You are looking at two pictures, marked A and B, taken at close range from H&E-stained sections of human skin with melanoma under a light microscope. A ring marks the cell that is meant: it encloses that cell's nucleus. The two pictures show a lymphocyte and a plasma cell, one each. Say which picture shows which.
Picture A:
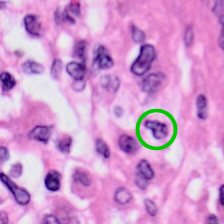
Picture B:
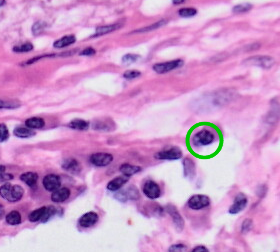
A: lymphocyte
B: plasma cell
